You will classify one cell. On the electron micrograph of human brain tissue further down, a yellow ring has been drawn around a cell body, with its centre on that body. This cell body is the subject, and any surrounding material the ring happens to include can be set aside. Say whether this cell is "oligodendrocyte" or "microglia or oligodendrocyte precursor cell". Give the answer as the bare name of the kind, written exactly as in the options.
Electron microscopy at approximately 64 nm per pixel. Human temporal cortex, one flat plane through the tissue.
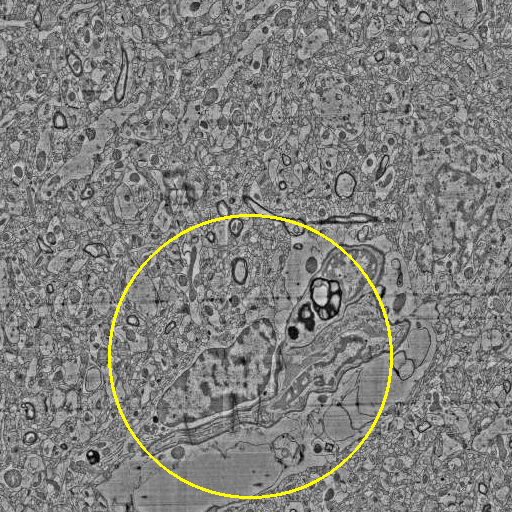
microglia or oligodendrocyte precursor cell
